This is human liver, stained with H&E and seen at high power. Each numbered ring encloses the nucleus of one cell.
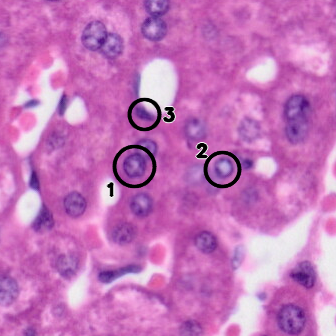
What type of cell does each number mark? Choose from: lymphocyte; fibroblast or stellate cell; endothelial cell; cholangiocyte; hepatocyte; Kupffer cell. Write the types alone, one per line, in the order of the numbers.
hepatocyte
cholangiocyte
fibroblast or stellate cell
